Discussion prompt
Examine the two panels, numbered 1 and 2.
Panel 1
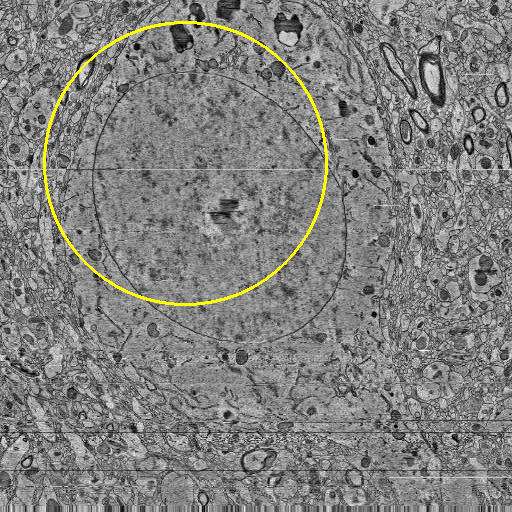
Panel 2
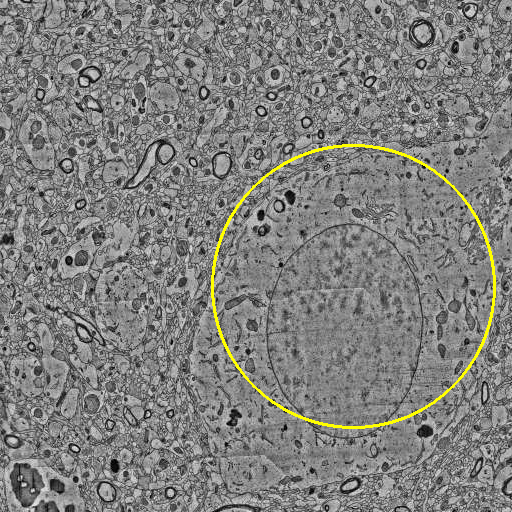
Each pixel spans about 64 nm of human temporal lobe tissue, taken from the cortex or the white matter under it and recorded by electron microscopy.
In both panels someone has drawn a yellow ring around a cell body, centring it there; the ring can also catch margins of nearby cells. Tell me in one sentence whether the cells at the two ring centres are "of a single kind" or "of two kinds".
Taken together, the two cells centred in the rings of Panels 1 and 2 are of a single kind.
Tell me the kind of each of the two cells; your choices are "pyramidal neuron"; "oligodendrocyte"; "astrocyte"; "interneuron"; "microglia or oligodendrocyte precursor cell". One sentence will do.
In each picture the ringed cell is a pyramidal neuron.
